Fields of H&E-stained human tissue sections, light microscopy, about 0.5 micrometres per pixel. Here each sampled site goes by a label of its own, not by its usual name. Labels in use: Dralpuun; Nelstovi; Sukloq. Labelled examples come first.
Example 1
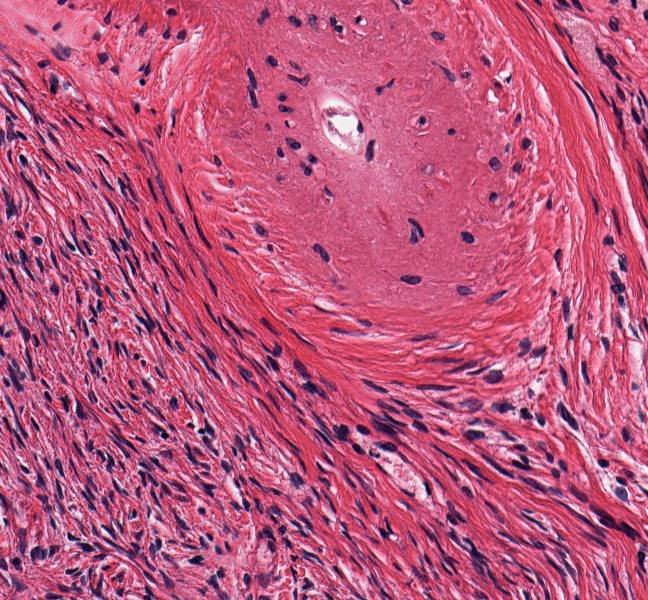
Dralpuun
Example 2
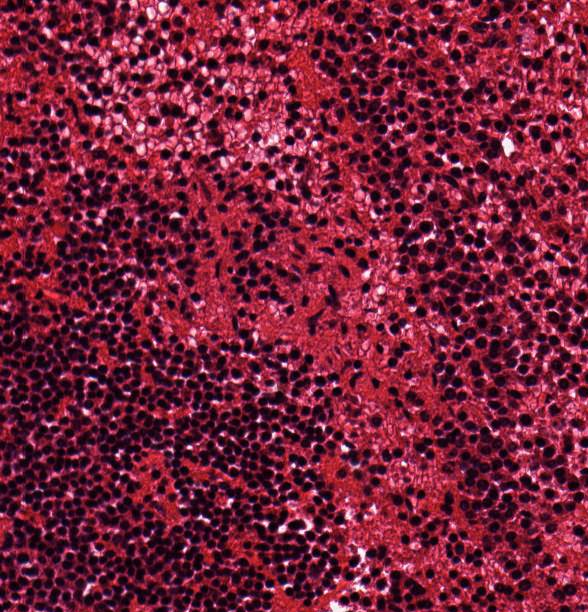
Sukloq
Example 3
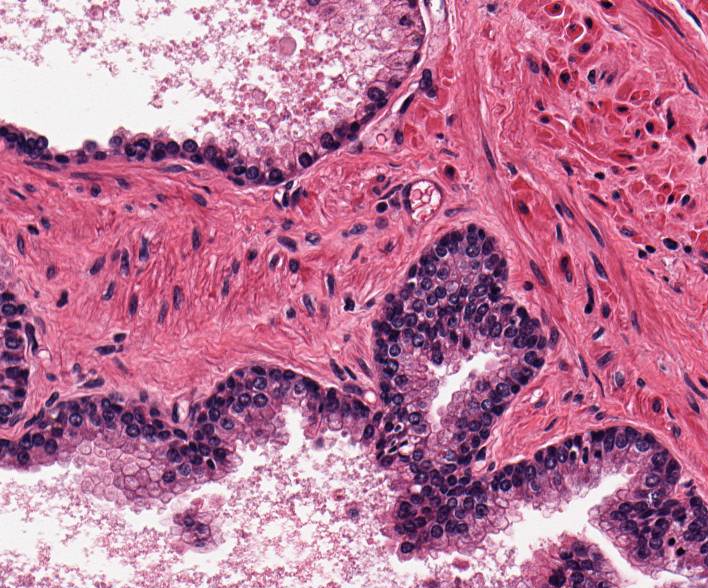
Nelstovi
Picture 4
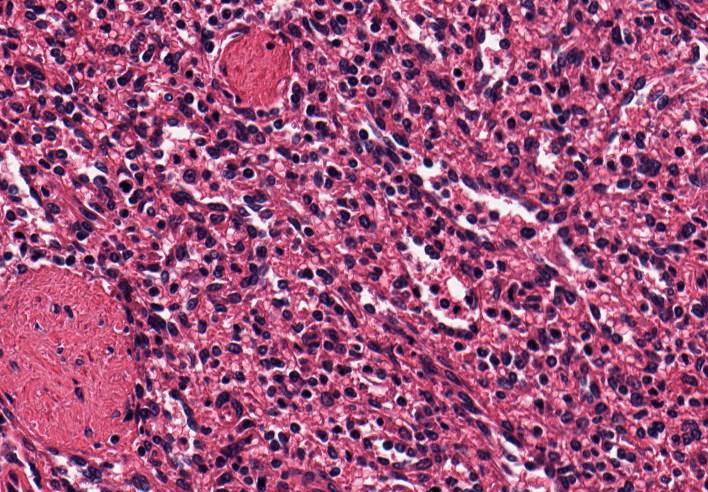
Sukloq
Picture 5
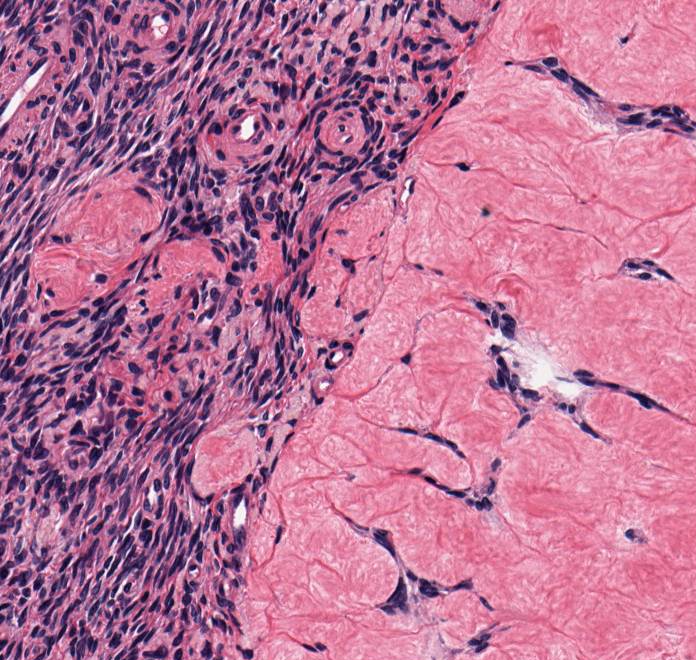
Dralpuun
